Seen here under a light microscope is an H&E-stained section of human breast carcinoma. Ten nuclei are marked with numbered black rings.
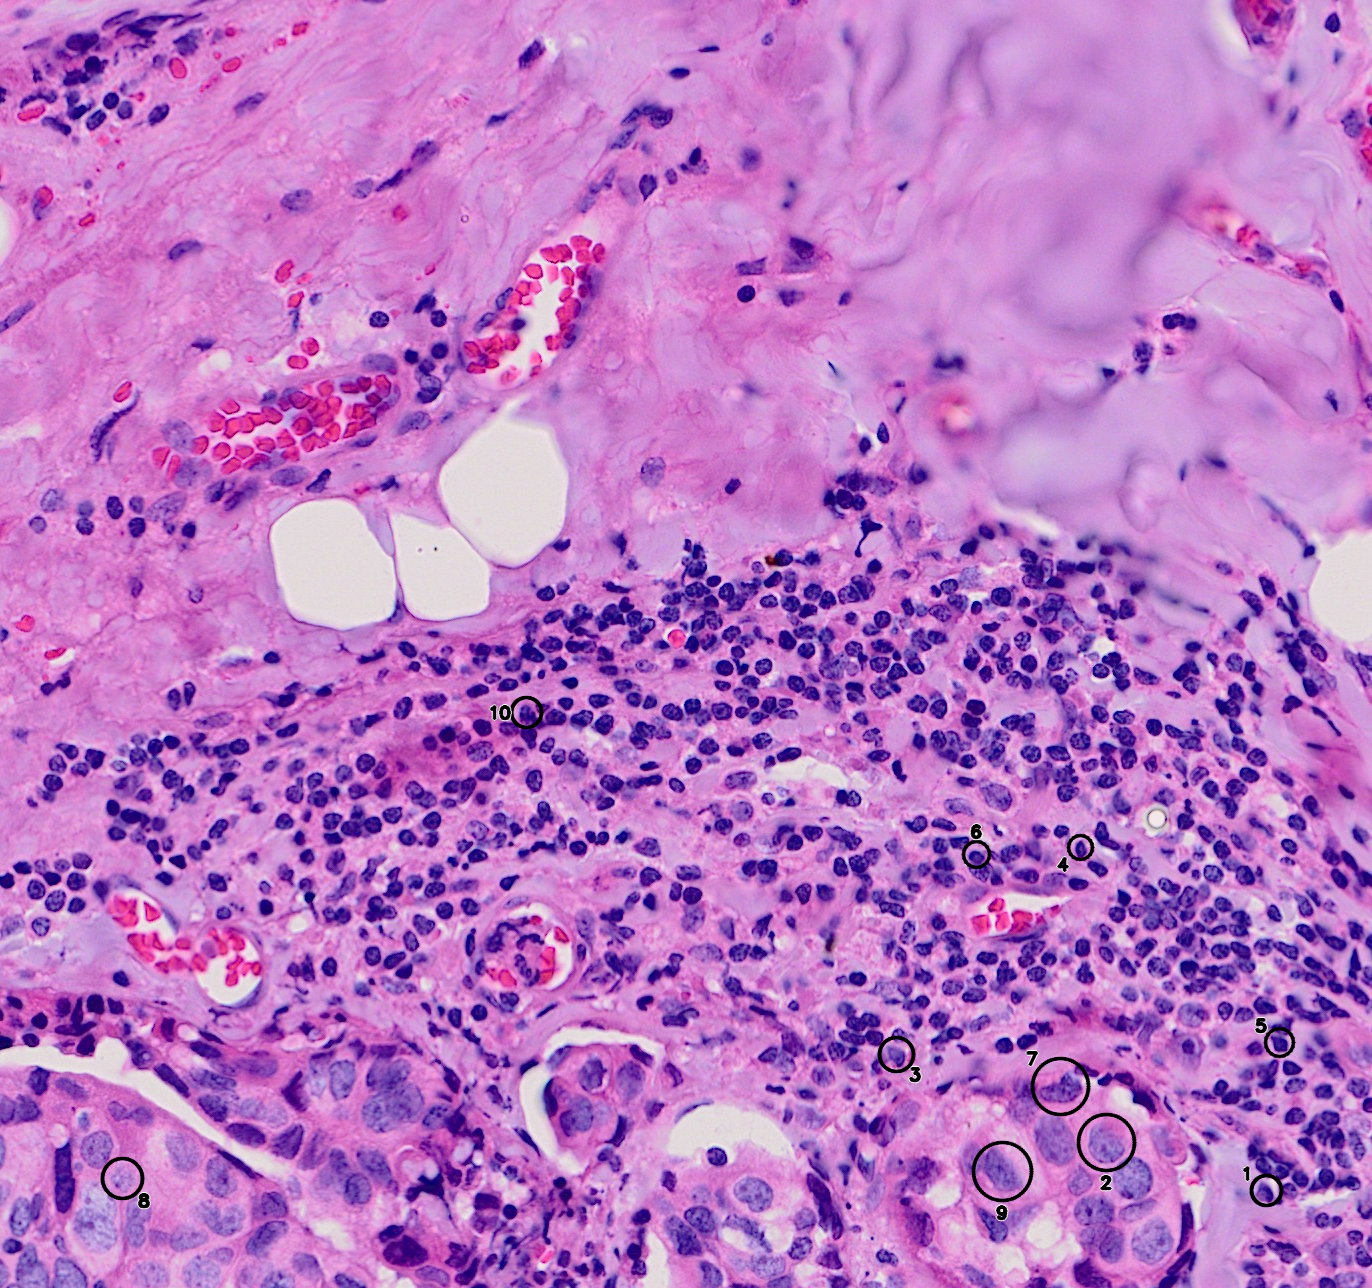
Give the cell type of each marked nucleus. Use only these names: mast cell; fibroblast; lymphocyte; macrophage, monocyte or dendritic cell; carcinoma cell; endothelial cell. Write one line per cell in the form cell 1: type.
cell 1: lymphocyte
cell 2: carcinoma cell
cell 3: lymphocyte
cell 4: lymphocyte
cell 5: lymphocyte
cell 6: lymphocyte
cell 7: carcinoma cell
cell 8: carcinoma cell
cell 9: carcinoma cell
cell 10: lymphocyte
